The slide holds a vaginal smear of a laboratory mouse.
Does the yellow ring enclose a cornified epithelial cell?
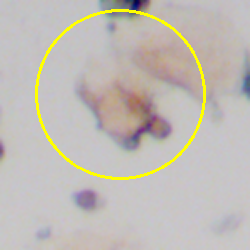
Yes. The ring encloses a cornified epithelial cell.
